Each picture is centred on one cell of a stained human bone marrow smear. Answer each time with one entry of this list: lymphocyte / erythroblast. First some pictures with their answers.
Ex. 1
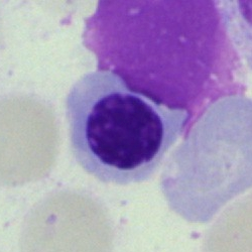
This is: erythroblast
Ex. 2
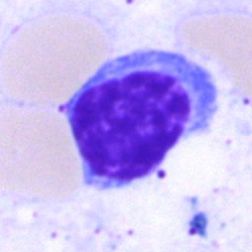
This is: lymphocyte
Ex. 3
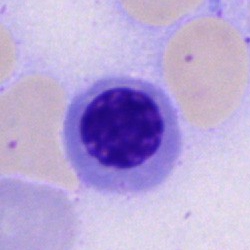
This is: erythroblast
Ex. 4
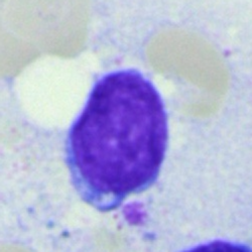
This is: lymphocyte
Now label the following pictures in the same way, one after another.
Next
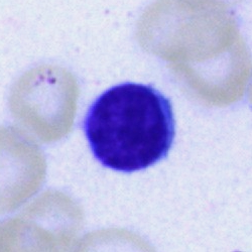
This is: lymphocyte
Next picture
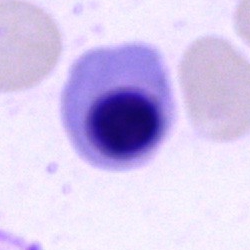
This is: erythroblast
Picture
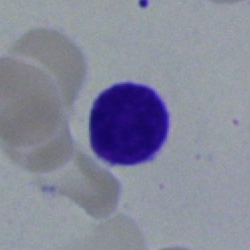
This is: lymphocyte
